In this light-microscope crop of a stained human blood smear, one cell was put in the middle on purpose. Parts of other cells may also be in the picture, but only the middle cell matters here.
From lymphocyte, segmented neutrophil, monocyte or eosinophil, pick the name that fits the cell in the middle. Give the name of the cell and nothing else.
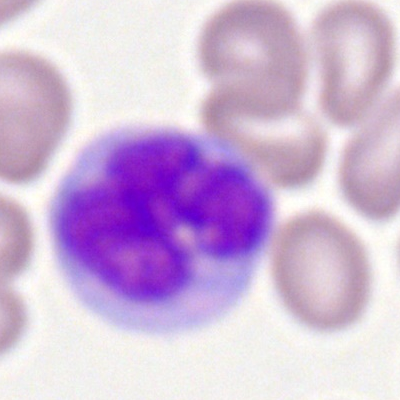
monocyte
